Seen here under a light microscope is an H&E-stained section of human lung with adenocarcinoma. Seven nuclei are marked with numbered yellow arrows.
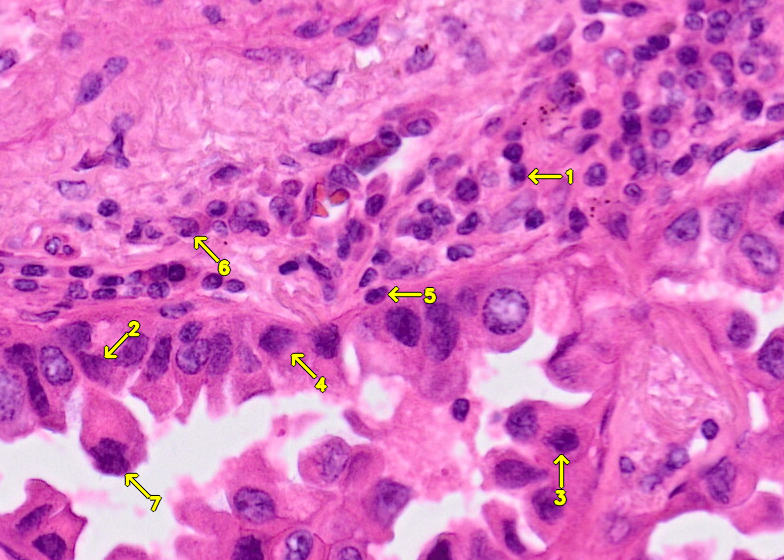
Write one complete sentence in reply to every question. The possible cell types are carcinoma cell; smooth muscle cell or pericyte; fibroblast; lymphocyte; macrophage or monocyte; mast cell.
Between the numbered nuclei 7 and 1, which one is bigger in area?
Nucleus 7 is the larger one, covering about 4 times the area of nucleus 1.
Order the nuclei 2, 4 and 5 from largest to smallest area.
By area, largest first, they run 4, 2, 5.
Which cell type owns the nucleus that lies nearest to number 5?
The nearest nucleus to number 5 belongs to a lymphocyte.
